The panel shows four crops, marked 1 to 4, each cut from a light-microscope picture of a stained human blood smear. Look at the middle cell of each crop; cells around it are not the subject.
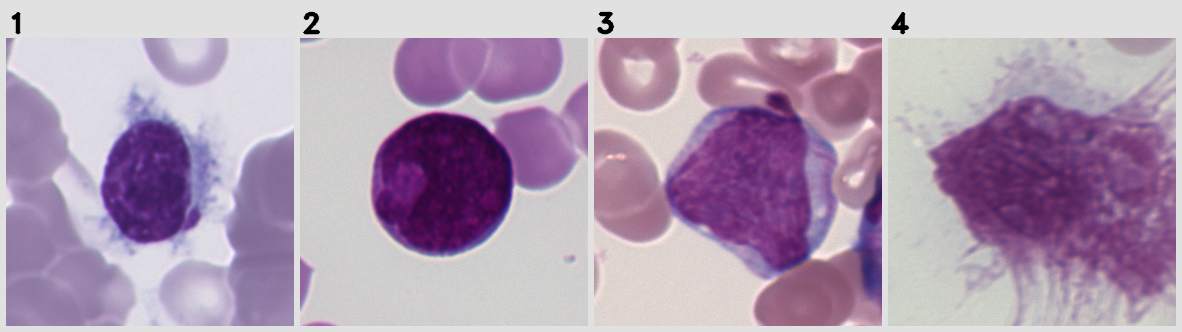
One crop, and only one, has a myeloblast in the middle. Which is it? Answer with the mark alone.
2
